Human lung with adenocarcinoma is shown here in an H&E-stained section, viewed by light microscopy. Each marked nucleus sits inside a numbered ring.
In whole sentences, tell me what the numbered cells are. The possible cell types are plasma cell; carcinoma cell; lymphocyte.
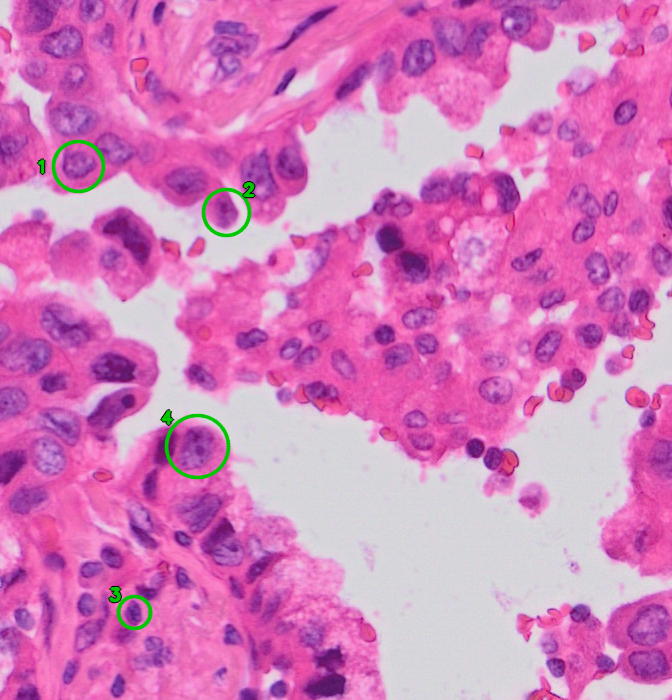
Cells 1, 2 and 4 are carcinoma cells. Cell 3 is a lymphocyte.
